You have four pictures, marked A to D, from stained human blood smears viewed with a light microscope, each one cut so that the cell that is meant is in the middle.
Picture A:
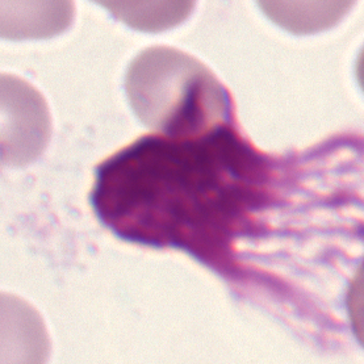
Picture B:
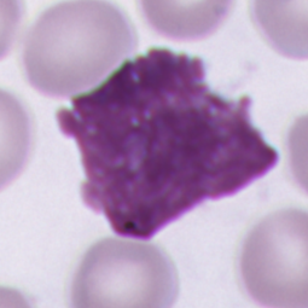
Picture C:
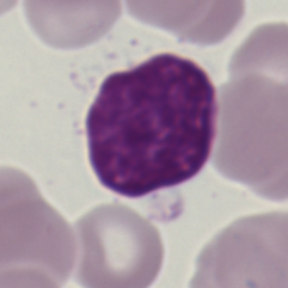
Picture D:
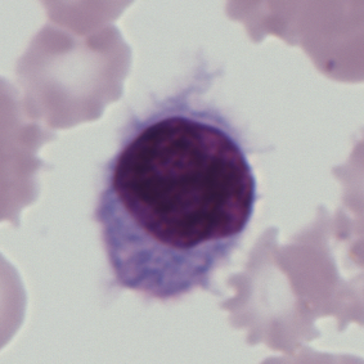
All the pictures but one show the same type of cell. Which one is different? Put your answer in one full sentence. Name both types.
The different one is picture D; it shows a hairy cell, whereas all the others show smudge cells.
